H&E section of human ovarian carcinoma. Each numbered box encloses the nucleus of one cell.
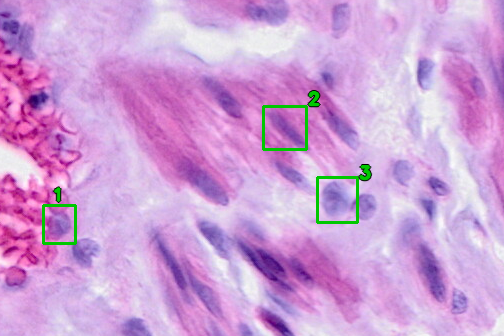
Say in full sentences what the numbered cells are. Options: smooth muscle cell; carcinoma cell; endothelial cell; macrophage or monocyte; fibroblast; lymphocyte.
Cell 1 is an endothelial cell, cell 2 is a smooth muscle cell and cell 3 is a fibroblast.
